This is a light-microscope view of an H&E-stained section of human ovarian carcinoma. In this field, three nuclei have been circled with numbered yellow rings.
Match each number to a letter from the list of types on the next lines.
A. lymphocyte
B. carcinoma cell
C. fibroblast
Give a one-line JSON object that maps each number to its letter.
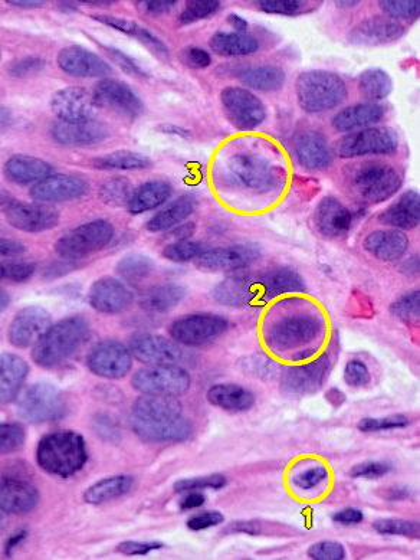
{"1": "A", "2": "B", "3": "C"}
